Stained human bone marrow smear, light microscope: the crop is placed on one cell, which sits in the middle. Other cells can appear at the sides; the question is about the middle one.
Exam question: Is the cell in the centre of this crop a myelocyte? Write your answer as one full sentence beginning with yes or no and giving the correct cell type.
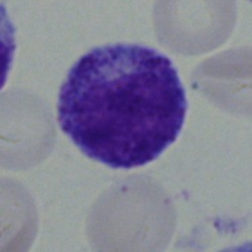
No, the middle cell is classified as a promyelocyte and not as a myelocyte.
